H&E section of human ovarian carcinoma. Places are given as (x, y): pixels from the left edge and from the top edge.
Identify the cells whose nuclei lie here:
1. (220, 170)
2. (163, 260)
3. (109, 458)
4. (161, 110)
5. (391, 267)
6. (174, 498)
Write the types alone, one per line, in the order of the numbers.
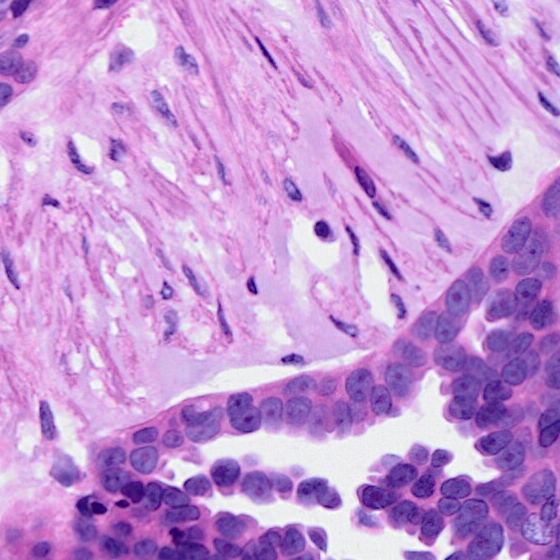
fibroblast
fibroblast
carcinoma cell
fibroblast
fibroblast
carcinoma cell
